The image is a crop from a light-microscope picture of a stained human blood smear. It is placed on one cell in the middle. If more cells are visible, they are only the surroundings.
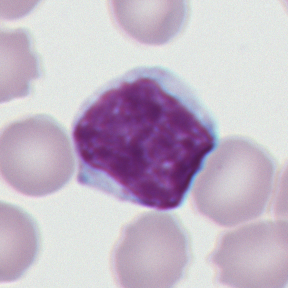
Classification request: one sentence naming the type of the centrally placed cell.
The centrally positioned cell in the crop represents a lymphocyte.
